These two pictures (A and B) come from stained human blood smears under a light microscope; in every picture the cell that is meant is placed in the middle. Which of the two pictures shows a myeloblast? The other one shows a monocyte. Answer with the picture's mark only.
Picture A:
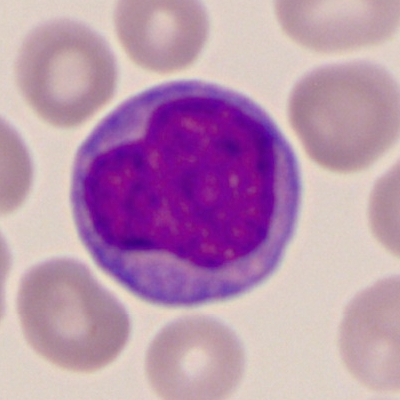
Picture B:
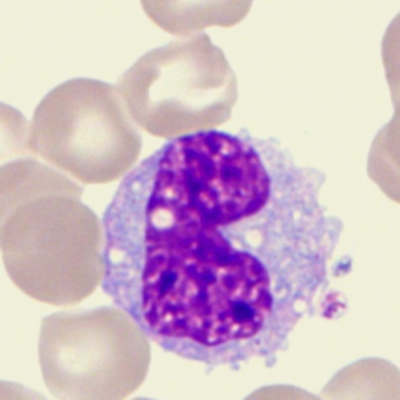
A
